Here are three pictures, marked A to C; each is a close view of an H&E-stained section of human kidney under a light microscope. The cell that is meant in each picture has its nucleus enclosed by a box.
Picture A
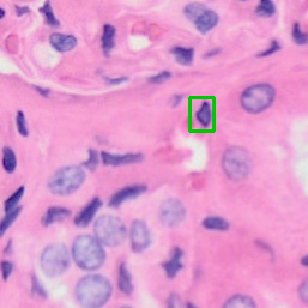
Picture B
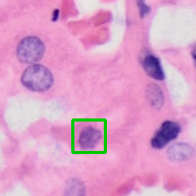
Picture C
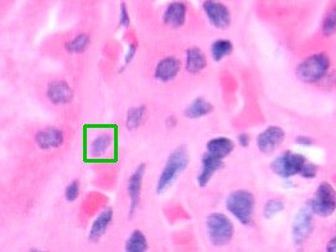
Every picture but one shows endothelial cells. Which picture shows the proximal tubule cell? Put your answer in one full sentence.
Picture B is the one that shows the proximal tubule cell.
